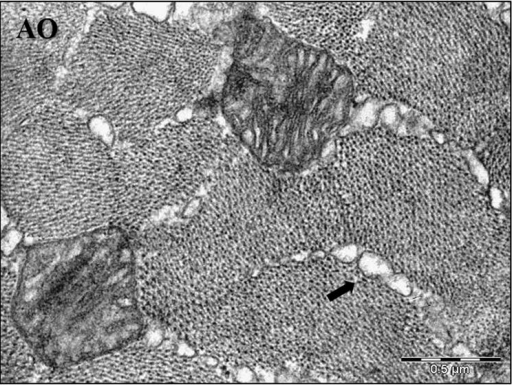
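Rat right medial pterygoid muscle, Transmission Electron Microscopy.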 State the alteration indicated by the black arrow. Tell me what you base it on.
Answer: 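Dilated sarcoplasmic reticulum cisternae with irregular contours. The arrow points to a chain of pale, rounded, membrane-bound vesicles between bundles of myofilaments. These pale spaces are wider than the thin clefts seen elsewhere between myofibrils.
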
